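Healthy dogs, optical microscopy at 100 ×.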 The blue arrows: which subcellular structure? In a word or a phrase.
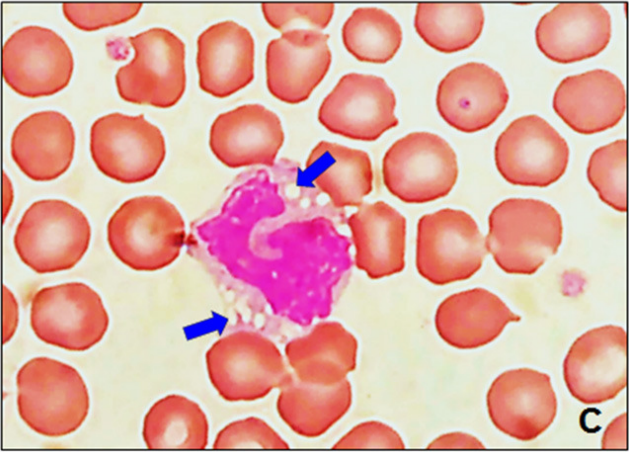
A: Vacuoles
